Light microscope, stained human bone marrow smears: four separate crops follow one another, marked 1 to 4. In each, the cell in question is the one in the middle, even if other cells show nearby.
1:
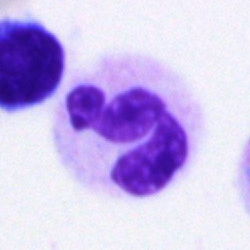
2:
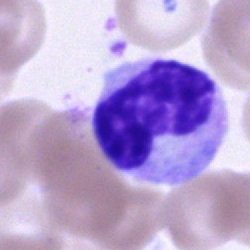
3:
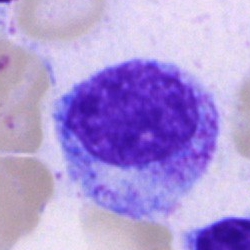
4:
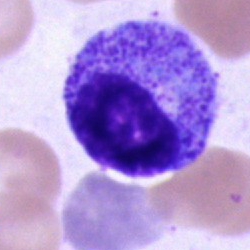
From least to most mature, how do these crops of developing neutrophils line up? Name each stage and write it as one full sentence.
Maturity rises in the sequence crop 4 (a promyelocyte), crop 3 (a myelocyte), crop 2 (a metamyelocyte) and crop 1 (a segmented neutrophil).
